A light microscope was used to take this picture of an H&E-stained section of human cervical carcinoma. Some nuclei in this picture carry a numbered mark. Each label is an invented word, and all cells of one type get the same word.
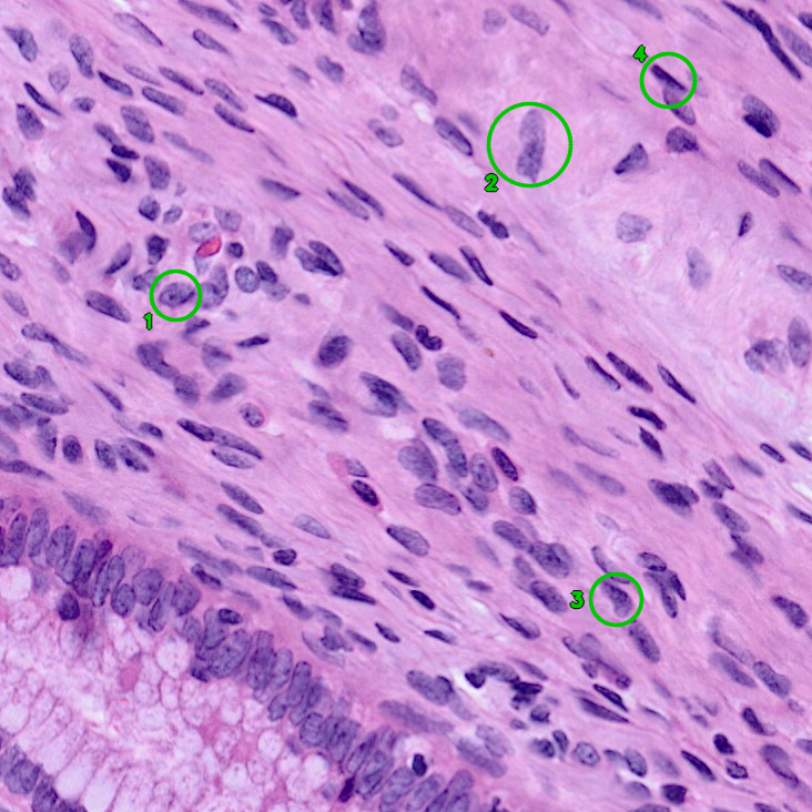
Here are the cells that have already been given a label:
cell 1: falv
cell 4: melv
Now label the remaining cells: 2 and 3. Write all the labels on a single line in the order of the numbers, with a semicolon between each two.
melv; melv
